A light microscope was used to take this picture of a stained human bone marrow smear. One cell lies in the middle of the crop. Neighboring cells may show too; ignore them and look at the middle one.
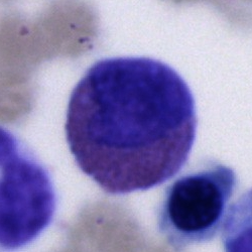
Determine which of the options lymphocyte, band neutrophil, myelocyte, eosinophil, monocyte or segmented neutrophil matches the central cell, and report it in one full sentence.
Framed in the middle of the crop is an eosinophil.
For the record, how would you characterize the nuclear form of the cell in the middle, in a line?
The nuclear material is gathered into one compact round, oval or kidney-shaped mass.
